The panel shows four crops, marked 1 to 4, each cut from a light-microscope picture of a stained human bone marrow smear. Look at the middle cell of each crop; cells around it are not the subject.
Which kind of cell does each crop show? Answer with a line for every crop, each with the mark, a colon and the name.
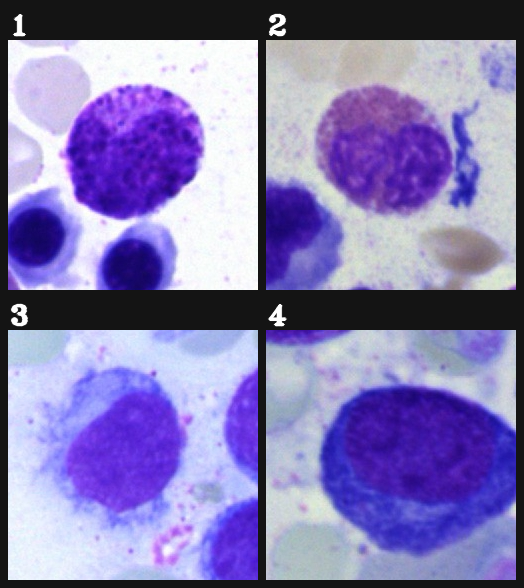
1: basophil
2: basophil
3: hairy cell
4: proerythroblast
